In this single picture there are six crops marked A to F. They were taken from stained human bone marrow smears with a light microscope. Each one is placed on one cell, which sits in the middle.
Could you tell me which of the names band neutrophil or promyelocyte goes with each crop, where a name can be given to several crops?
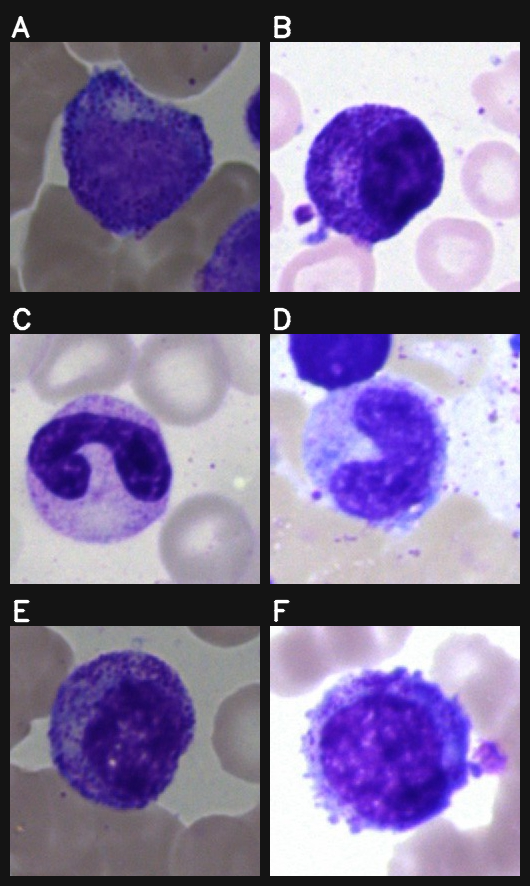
A: promyelocyte
B: promyelocyte
C: band neutrophil
D: band neutrophil
E: promyelocyte
F: promyelocyte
